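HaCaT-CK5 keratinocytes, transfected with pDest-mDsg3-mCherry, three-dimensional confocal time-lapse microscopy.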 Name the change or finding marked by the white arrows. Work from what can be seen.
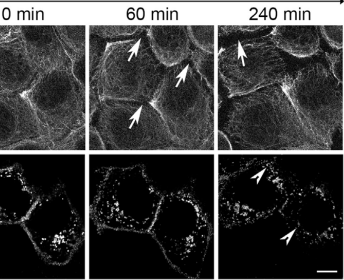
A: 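The arrows point to cell borders where the filament network is thinned out or absent.
Conclusion: keratin retraction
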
